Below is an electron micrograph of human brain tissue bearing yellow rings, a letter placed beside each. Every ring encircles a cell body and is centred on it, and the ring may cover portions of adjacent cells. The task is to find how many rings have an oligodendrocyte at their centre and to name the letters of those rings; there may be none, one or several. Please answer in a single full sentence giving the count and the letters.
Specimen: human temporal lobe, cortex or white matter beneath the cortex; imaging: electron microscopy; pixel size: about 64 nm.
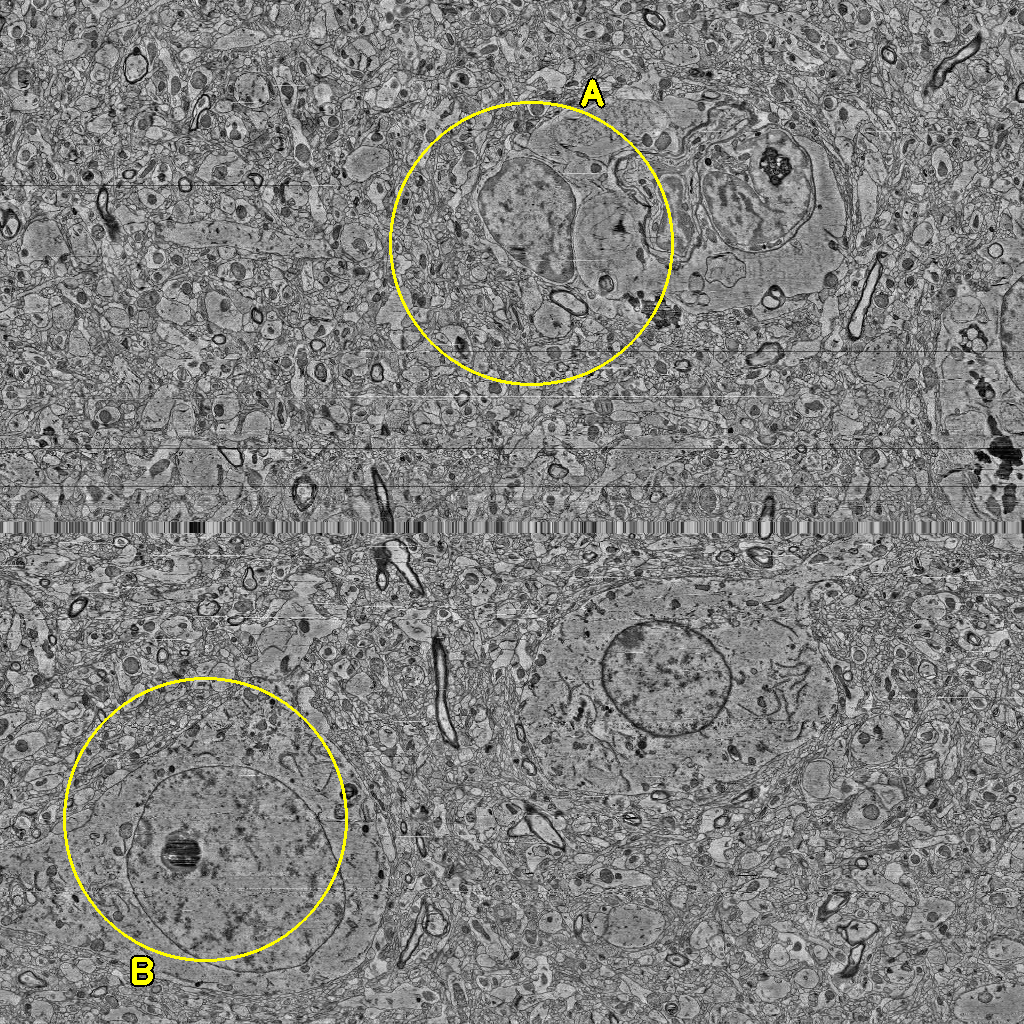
Not one of the yellow rings is centred on an oligodendrocyte, so the count comes to zero.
